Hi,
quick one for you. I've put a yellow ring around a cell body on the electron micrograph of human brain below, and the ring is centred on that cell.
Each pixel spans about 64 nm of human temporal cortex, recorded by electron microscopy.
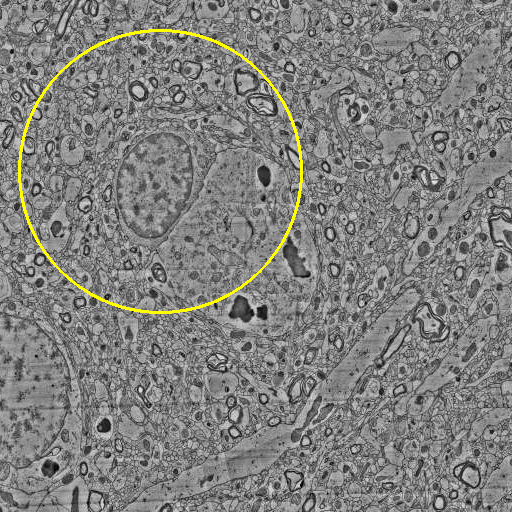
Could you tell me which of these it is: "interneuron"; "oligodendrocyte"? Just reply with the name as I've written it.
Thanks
oligodendrocyte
